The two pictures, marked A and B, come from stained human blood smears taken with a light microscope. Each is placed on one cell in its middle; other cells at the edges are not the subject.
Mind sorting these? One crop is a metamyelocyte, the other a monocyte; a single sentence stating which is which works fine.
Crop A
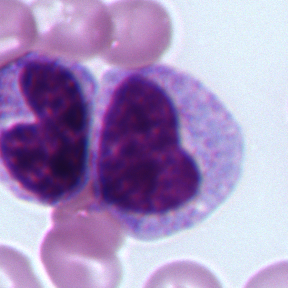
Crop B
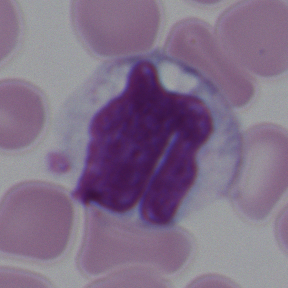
Crop A is labelled a metamyelocyte, and crop B is labelled a monocyte.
